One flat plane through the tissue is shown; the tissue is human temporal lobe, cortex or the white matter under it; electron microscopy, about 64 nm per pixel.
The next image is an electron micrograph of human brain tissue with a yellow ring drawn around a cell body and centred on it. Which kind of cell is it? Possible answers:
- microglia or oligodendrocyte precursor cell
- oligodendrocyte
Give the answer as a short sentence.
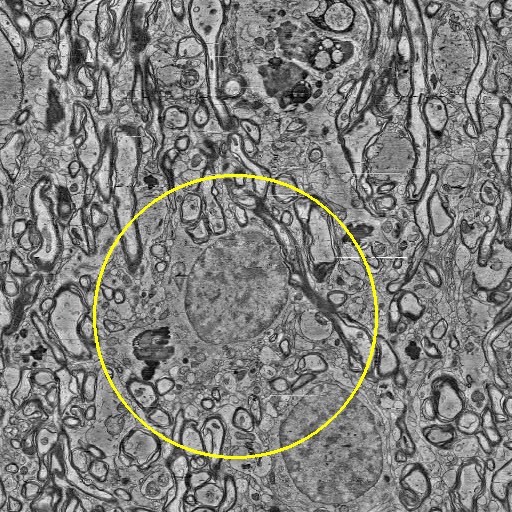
In the ring's centre is an oligodendrocyte.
